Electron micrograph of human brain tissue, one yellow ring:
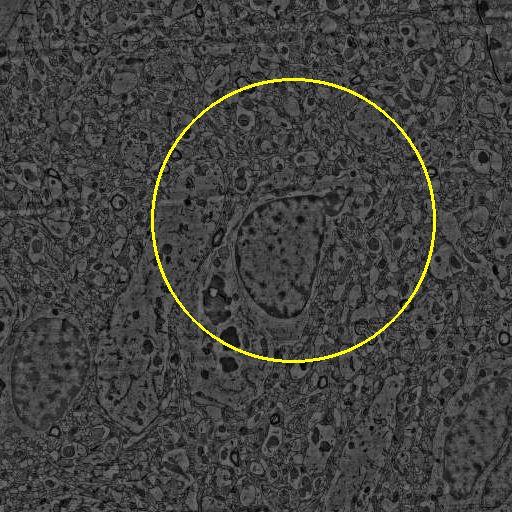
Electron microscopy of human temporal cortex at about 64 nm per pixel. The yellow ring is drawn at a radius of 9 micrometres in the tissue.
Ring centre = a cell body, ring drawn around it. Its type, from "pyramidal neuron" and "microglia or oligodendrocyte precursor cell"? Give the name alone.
microglia or oligodendrocyte precursor cell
